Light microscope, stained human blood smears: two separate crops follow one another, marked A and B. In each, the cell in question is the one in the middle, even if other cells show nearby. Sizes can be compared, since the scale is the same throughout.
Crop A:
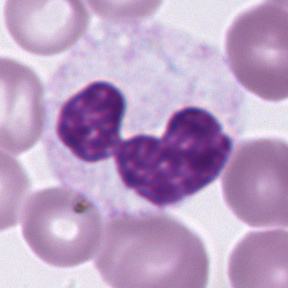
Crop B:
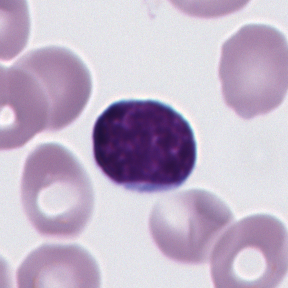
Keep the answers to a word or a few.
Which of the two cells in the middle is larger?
A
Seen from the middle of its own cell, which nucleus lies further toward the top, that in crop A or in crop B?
B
